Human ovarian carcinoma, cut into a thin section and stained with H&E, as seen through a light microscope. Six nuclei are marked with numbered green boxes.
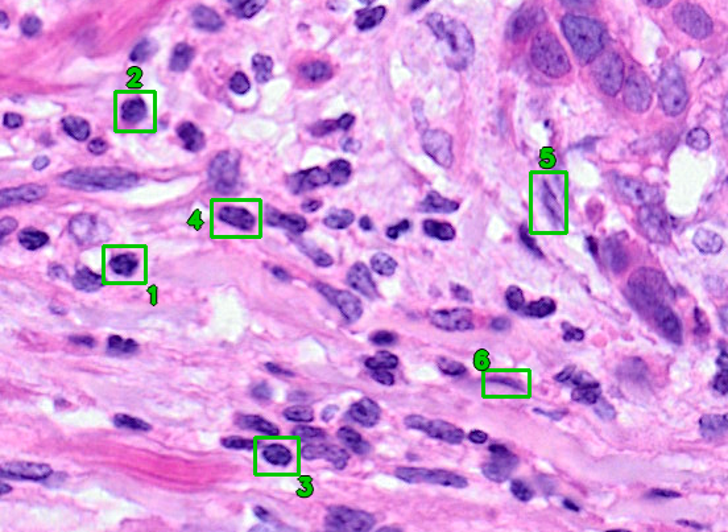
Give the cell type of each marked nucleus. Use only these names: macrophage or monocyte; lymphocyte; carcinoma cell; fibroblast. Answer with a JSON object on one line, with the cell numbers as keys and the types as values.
{"1": "lymphocyte", "2": "lymphocyte", "3": "lymphocyte", "4": "lymphocyte", "5": "fibroblast", "6": "fibroblast"}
